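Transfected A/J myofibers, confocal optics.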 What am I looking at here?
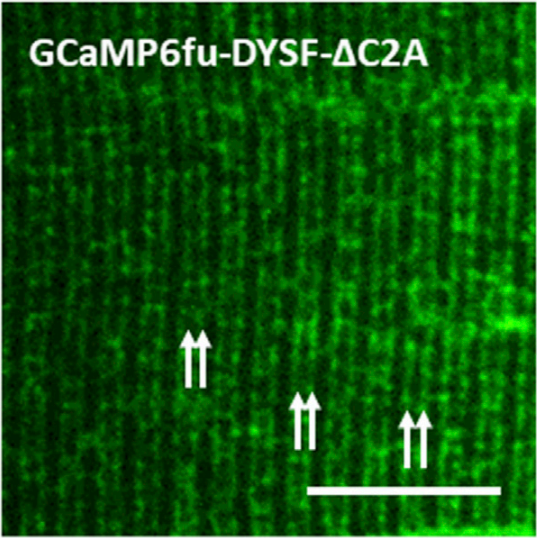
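This is part of a skeletal muscle fiber seen under confocal fluorescence, with green label arranged as fine striations across the fiber. The label forms pairs of thin, dotted transverse lines, the transverse tubules at the level of the triad junctions, repeating at regular intervals along the fiber against a dark background.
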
